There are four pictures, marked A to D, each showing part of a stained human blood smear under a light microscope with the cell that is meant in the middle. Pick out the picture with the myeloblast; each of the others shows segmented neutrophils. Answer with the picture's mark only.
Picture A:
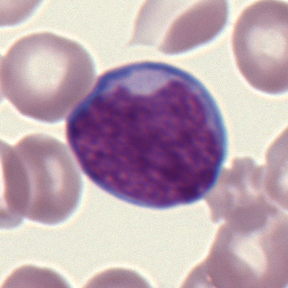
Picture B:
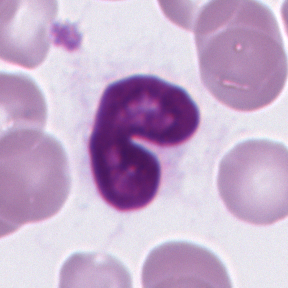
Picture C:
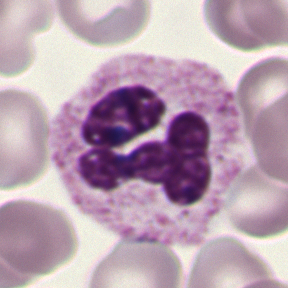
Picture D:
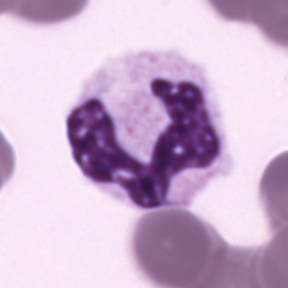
A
